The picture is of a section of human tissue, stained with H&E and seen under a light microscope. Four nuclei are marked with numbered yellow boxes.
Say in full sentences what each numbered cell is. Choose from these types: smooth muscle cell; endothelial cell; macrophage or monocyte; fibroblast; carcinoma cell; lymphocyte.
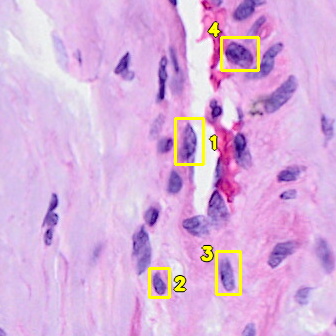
Cells 1 and 4 are endothelial cells. Cells 2 and 3 are smooth muscle cells.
